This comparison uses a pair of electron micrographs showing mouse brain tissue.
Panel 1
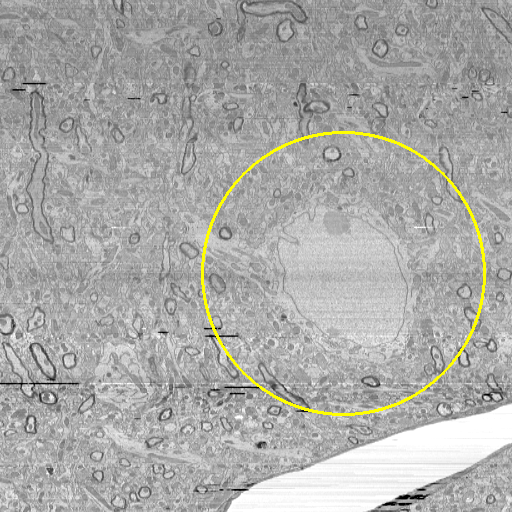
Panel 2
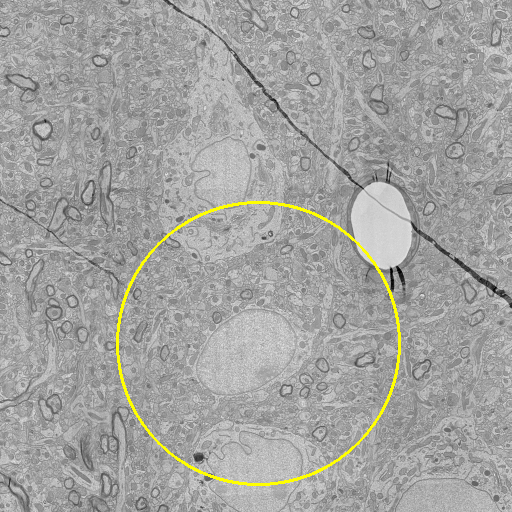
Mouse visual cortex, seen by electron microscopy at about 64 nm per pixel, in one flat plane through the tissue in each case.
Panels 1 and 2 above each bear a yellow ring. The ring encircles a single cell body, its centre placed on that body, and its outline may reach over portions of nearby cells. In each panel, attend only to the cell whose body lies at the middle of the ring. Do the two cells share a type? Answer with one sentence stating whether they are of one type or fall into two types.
In Panel 1 and Panel 2, the cells at the centres of the rings fall into two types.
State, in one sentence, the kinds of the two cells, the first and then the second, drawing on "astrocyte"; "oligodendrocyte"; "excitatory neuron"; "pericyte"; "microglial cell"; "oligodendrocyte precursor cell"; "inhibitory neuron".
The ring in the second picture is centred on an astrocyte, the ring in the first on an excitatory neuron.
